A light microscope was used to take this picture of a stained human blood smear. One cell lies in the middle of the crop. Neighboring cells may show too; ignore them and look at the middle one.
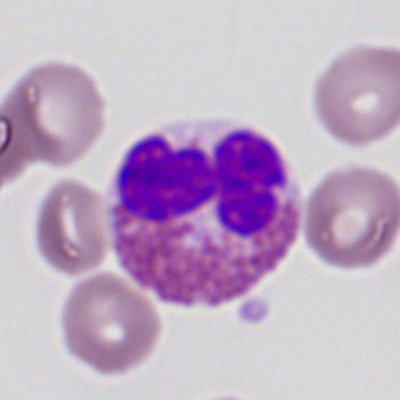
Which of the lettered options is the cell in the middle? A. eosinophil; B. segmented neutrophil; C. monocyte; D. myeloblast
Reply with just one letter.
A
